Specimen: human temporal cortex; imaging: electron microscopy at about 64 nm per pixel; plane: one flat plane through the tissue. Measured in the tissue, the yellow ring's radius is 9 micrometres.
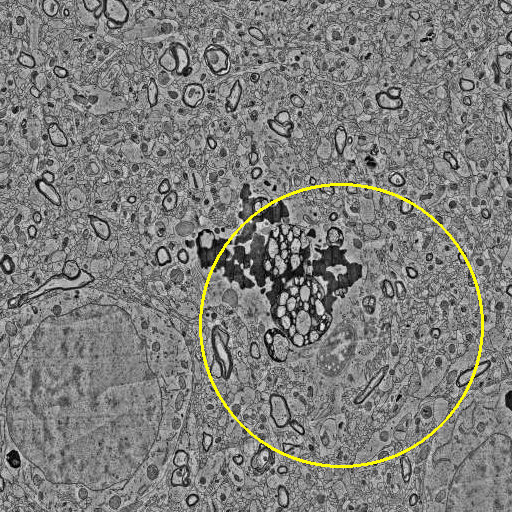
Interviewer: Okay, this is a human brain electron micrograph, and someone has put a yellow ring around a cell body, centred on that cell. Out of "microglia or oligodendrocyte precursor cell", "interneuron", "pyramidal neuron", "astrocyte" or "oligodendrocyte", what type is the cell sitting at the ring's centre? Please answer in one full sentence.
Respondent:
The cell at the centre of the yellow ring in this picture is an astrocyte.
